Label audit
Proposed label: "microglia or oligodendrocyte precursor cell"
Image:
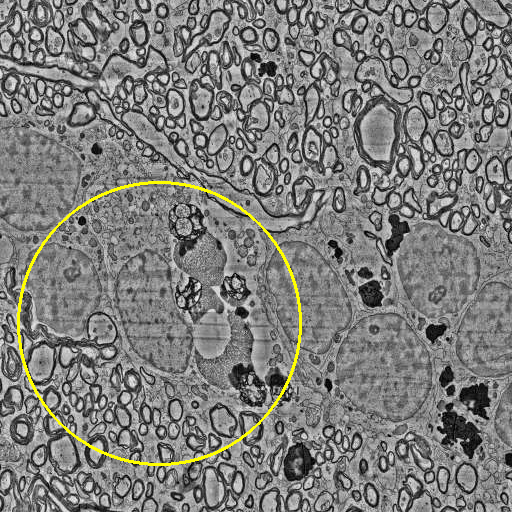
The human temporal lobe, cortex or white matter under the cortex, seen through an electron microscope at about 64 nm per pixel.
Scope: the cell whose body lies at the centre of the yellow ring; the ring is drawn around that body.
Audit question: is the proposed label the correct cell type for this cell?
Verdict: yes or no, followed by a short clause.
No, this cell is of another type.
